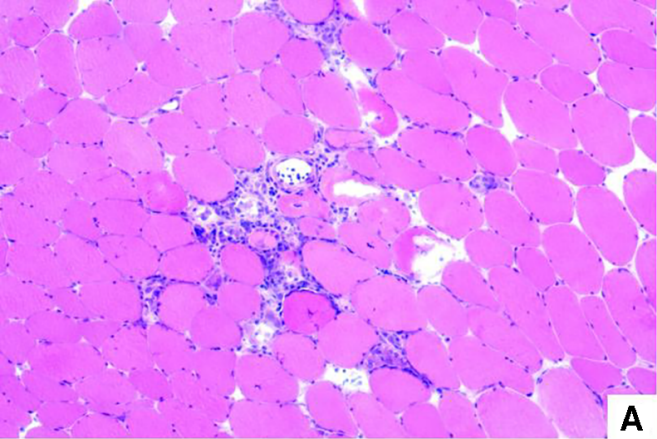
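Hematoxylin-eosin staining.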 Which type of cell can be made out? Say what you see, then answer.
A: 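Large polygonal to rounded pink fibres seen in cross-section fill the field. Their nuclei are small and lie at the edge of each fibre.
Hence: myocytes.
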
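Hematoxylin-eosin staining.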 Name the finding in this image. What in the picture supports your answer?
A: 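A cluster of small cells with round dark nuclei sits in the centre of the field. These small cells lie in the spaces between the large pink fibres.
Hence: infiltration of mononuclear cells.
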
